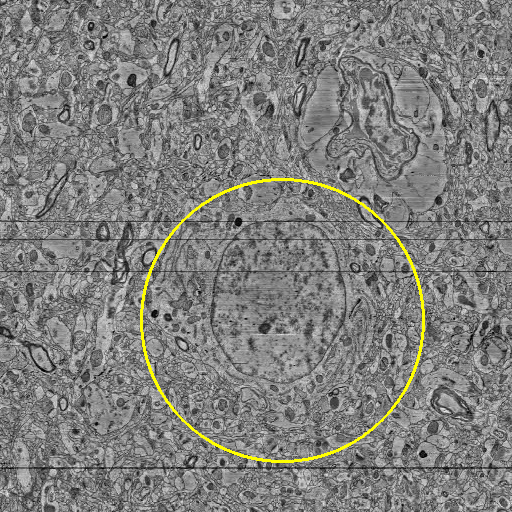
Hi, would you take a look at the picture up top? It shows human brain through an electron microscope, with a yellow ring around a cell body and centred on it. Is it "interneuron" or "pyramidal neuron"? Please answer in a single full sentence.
The best fit for the cell in the middle of the ring is an interneuron, I reckon.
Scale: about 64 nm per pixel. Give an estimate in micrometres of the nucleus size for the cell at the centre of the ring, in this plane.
The nucleus is approximately 11 micrometers long by 9 micrometers wide in this plane.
